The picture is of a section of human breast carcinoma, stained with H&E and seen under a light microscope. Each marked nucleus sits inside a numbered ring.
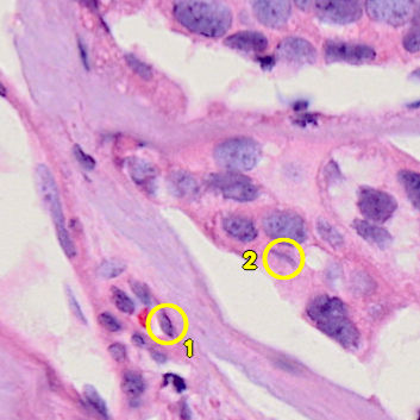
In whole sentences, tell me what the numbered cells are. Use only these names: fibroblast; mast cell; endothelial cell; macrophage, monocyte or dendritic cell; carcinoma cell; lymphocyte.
Cell 1 is an endothelial cell. Cell 2 is a carcinoma cell.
